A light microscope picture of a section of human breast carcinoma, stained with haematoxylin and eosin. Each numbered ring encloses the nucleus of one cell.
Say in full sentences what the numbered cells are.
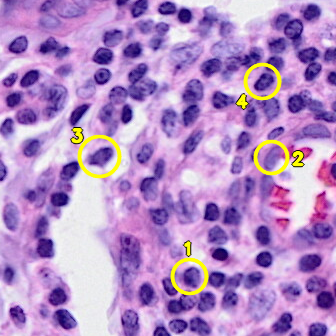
Cell 1 is a lymphocyte, cell 2 is an endothelial cell, cell 3 is a lymphocyte and cell 4 is a lymphocyte.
